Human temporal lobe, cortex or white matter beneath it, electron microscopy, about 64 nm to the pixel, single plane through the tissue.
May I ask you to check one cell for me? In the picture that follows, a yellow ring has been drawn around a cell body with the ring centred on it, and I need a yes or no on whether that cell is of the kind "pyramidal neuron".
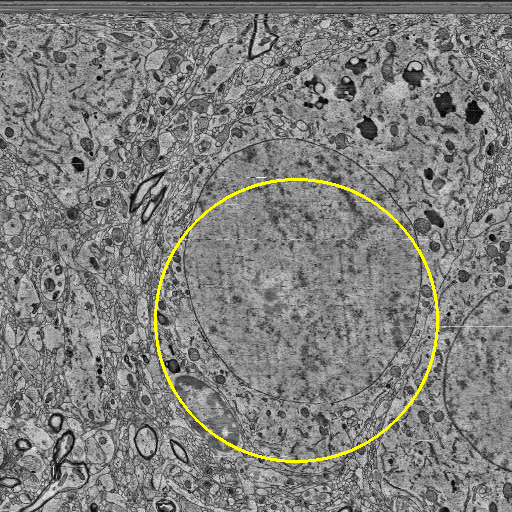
Yes, it is that kind of cell.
